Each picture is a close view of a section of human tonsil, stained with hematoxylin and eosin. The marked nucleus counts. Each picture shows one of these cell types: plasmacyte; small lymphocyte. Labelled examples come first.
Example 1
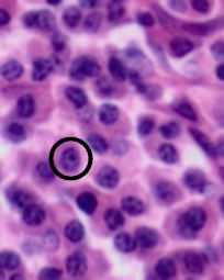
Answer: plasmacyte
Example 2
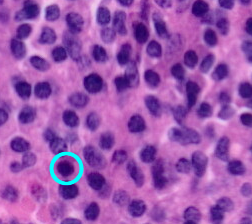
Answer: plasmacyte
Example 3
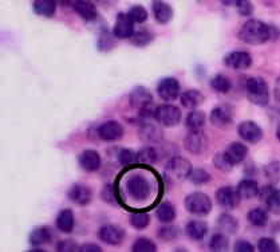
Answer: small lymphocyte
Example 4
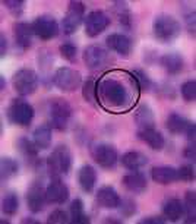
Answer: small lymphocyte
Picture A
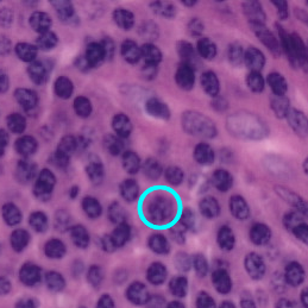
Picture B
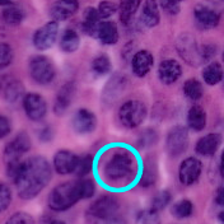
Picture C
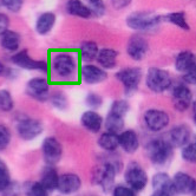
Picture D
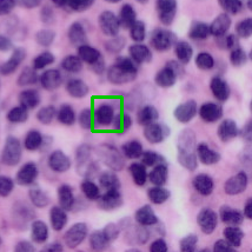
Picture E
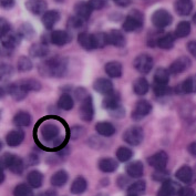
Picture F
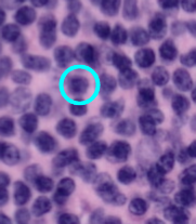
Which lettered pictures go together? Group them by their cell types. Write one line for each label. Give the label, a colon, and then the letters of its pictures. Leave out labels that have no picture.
plasmacyte: A, B, C
small lymphocyte: D, E, F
